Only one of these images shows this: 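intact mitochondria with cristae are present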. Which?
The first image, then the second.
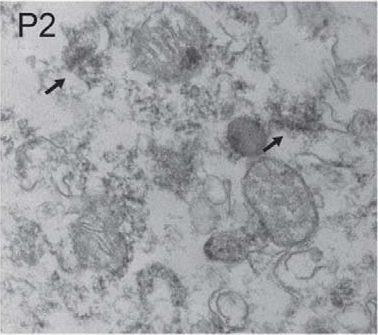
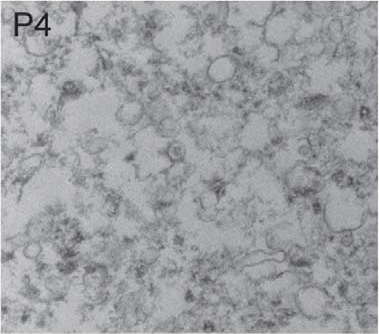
The first image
